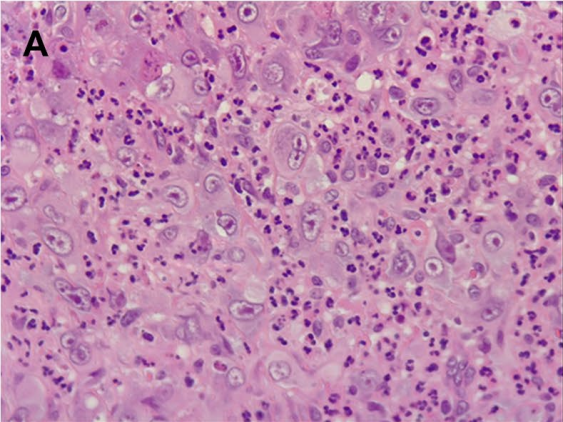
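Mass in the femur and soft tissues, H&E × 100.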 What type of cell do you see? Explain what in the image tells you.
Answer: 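Epithelioid cells. Large polygonal cells with abundant pink cytoplasm. Large vesicular nuclei with distinct nucleoli.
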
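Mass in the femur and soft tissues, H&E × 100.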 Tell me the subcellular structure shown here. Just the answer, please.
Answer: prominent nucleoli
